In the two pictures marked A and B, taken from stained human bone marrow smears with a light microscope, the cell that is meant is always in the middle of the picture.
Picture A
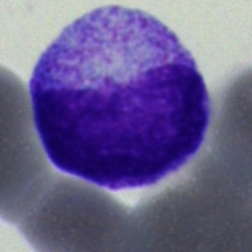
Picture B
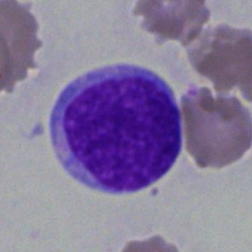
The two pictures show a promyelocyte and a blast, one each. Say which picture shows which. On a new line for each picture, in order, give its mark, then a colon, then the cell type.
A: promyelocyte
B: blast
